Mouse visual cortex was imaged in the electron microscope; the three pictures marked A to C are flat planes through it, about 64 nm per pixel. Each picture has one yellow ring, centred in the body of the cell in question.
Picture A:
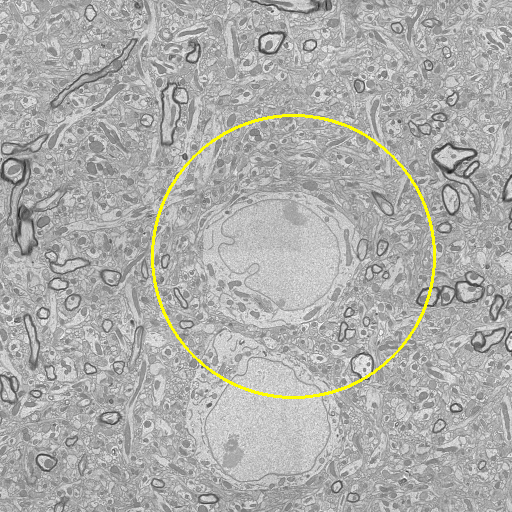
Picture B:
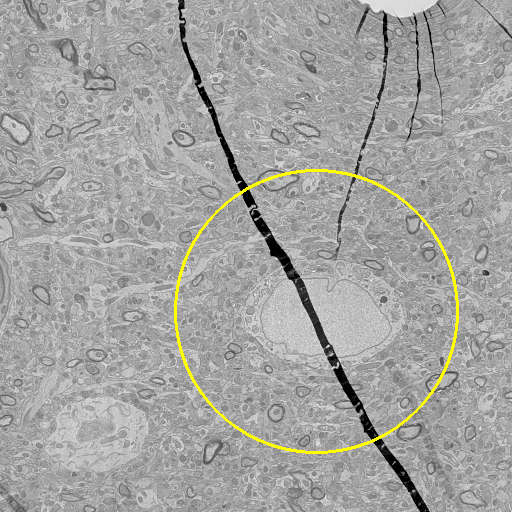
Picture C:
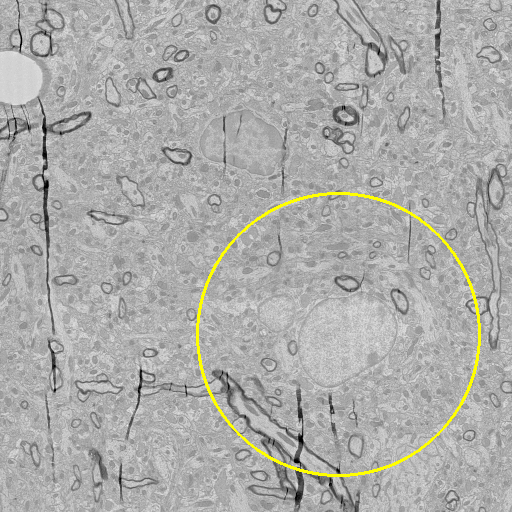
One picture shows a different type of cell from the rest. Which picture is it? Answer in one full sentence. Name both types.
All pictures except C show excitatory neurons; picture C shows an astrocyte.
